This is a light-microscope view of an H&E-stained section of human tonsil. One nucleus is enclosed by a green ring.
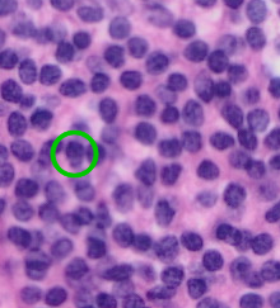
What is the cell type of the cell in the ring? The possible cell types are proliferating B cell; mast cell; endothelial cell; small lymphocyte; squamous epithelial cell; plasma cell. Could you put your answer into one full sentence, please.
As classified here, the cell in the ring is a small lymphocyte.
